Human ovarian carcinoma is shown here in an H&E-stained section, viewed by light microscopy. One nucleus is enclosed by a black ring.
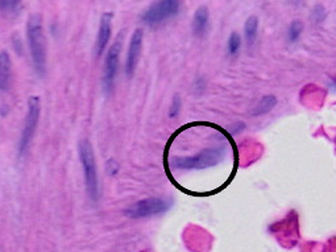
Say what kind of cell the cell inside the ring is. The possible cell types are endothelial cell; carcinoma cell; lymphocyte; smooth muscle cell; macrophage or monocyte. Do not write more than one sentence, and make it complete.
As a matter of cell type, the cell inside the ring is an endothelial cell.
